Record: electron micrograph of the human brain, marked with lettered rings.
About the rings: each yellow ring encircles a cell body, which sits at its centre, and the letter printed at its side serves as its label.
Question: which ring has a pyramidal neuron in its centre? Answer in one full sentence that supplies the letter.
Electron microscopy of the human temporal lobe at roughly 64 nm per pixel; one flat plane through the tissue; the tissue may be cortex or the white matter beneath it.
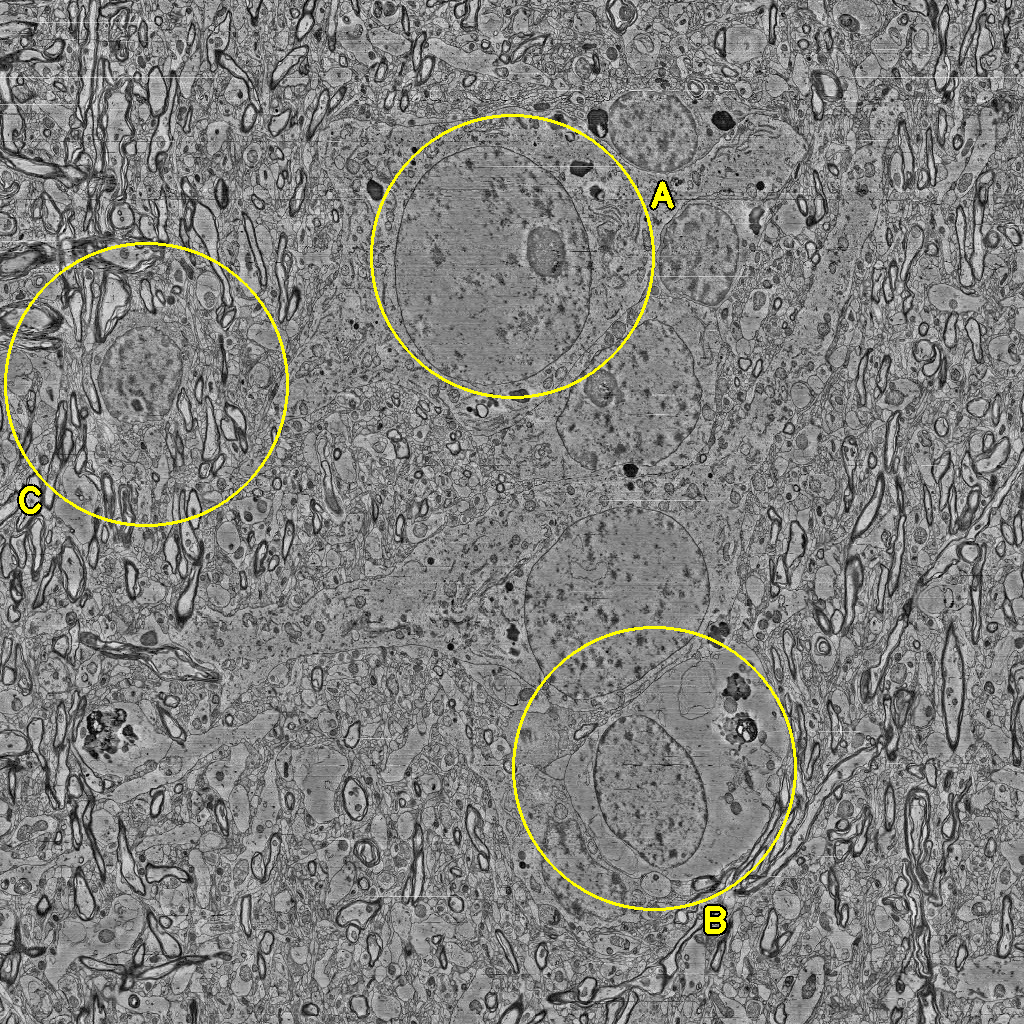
Within the picture, a cell of that kind is centred inside the ring marked A.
